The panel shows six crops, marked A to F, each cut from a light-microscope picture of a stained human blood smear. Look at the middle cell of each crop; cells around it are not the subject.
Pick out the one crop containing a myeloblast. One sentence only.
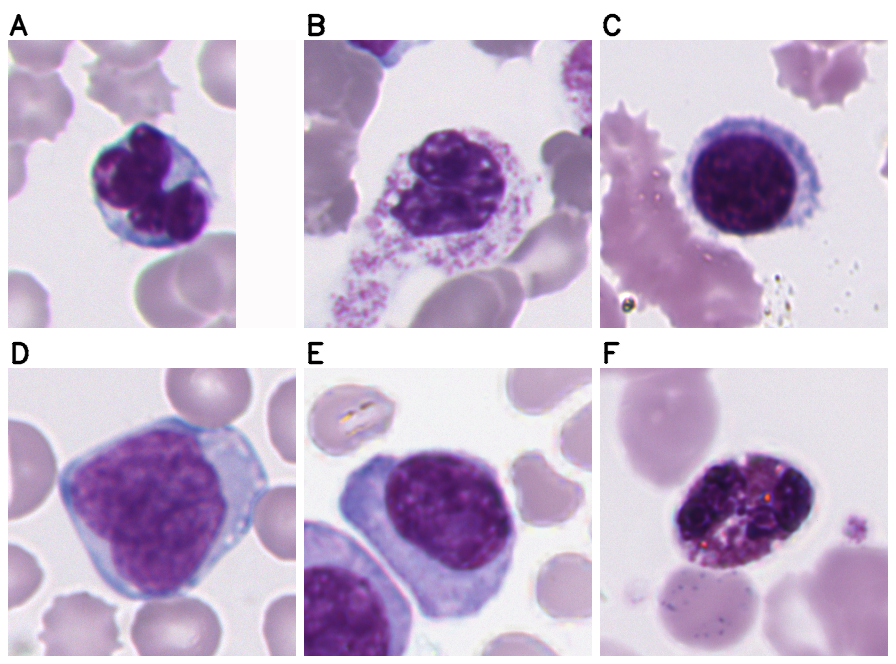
Crop D shows a myeloblast, and no other crop does.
